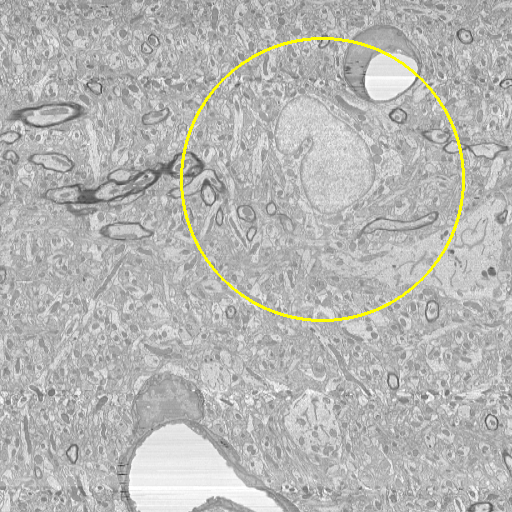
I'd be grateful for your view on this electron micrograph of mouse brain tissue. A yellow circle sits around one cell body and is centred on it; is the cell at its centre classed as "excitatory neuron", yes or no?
no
